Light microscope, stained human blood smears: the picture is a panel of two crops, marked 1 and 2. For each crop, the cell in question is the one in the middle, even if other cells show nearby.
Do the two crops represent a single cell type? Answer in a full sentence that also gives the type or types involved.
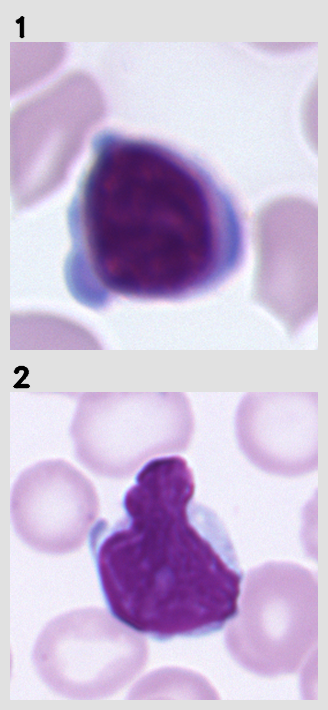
Yes, both of the crops show typical lymphocytes.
